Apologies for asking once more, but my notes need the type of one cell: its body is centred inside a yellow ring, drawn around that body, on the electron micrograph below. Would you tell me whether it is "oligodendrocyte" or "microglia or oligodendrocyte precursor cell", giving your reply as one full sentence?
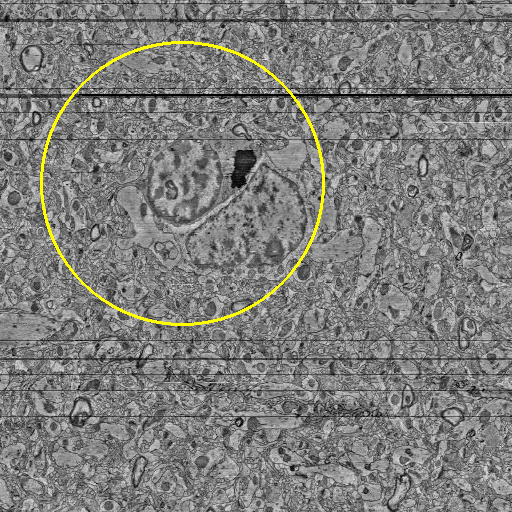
The cell that the yellow ring is centred on is an oligodendrocyte in this micrograph.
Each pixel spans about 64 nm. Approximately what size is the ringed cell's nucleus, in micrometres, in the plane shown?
In this plane, approximately 6 by 5 micrometers.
